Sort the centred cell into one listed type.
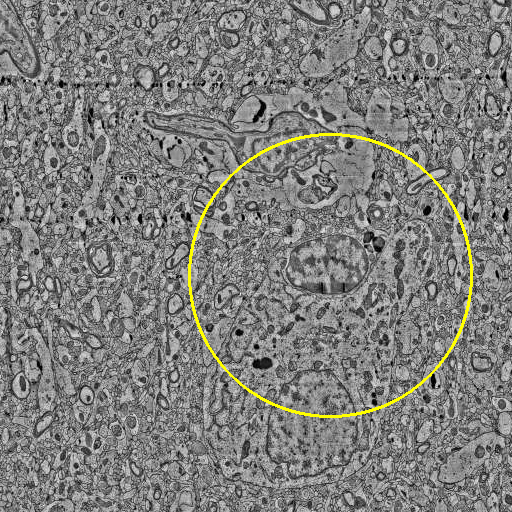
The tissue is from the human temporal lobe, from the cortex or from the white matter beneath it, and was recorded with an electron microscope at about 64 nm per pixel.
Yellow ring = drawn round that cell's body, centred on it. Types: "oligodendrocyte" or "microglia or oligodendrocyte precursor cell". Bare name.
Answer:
microglia or oligodendrocyte precursor cell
